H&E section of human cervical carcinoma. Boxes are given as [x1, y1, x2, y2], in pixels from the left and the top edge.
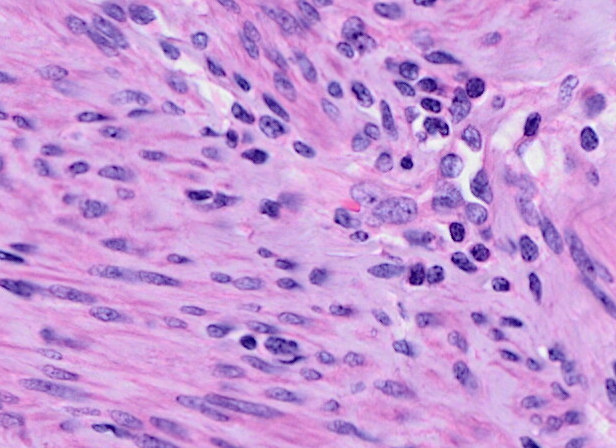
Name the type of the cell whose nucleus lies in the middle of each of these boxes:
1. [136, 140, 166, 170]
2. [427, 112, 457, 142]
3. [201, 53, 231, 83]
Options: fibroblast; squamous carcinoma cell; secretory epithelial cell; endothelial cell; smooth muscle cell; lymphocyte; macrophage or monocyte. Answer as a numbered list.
1. smooth muscle cell
2. lymphocyte
3. smooth muscle cell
